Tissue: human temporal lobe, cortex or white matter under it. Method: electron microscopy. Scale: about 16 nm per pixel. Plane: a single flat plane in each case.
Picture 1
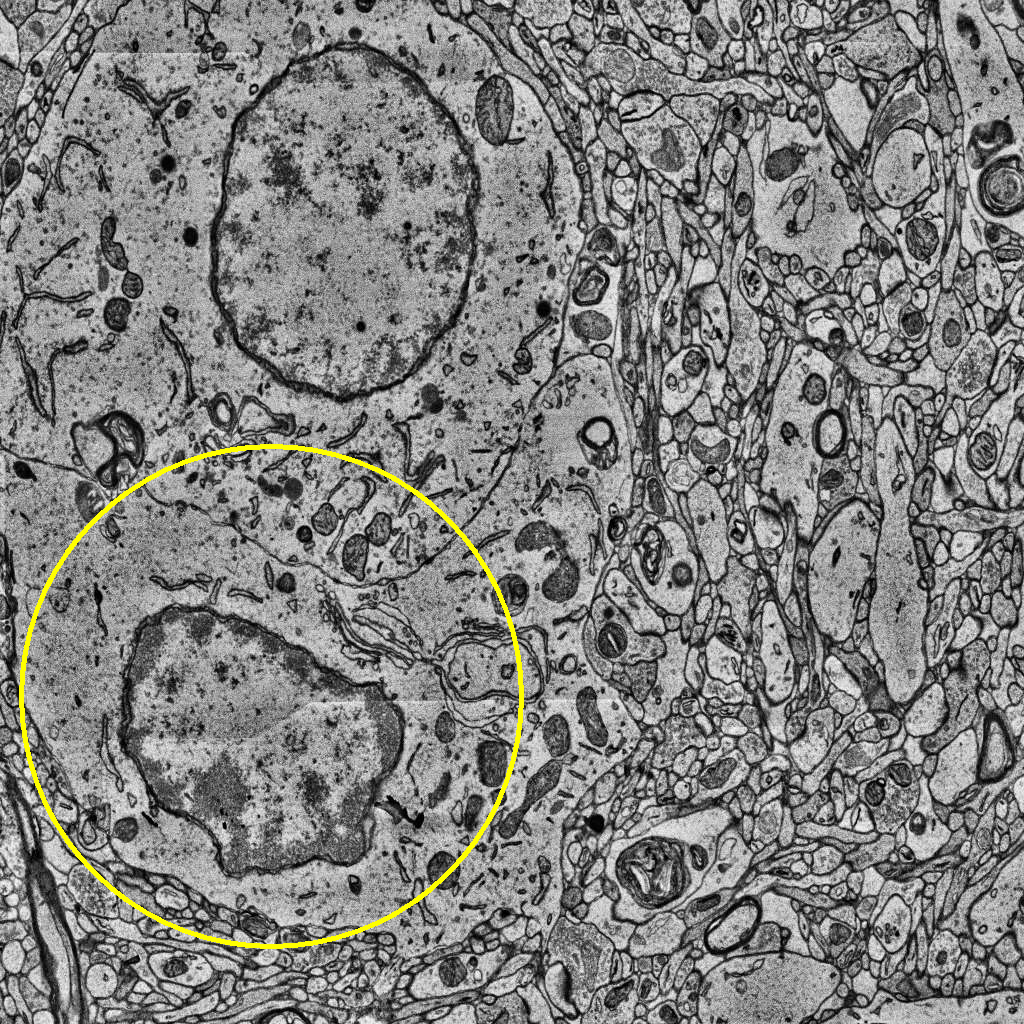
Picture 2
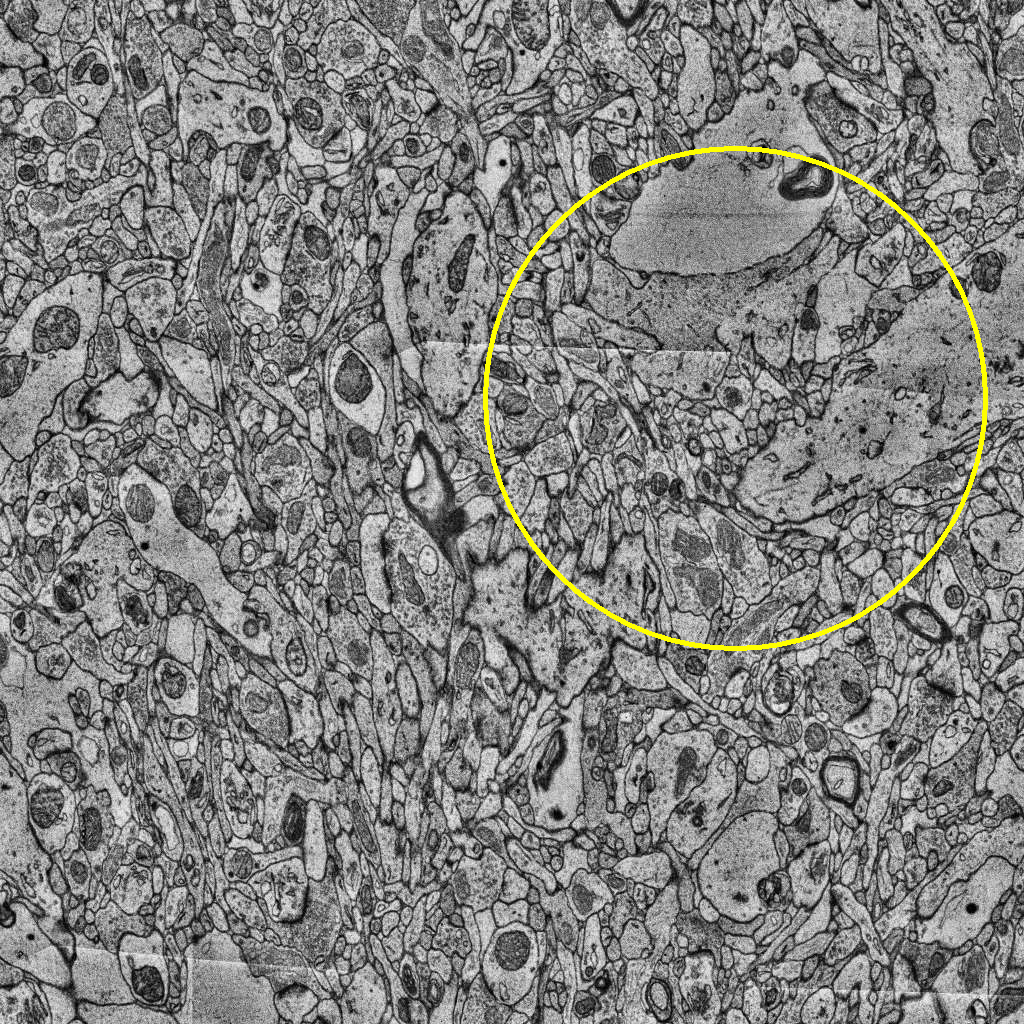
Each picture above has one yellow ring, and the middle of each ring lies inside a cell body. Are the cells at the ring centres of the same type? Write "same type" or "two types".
same type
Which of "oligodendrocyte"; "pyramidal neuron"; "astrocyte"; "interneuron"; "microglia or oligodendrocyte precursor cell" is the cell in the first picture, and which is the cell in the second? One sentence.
The cell in the first picture is a microglial cell or oligodendrocyte precursor cell, and so is the one in the second.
